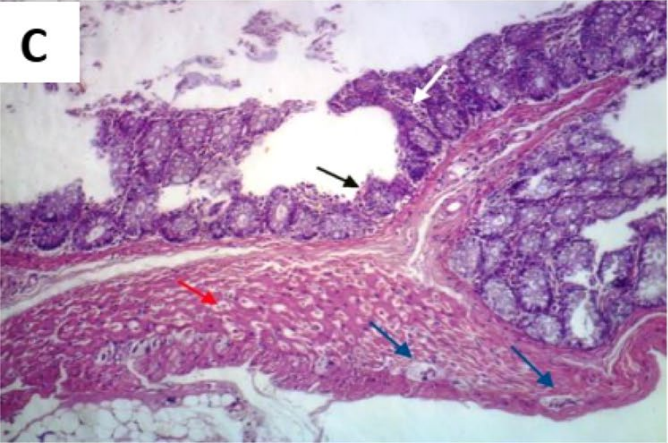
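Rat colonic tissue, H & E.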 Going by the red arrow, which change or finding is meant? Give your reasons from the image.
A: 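Degeneration of the muscularis externa. The thick outer muscle layer is riddled with small clear vacuoles. Muscle fibres appear disrupted rather than in compact parallel bundles.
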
